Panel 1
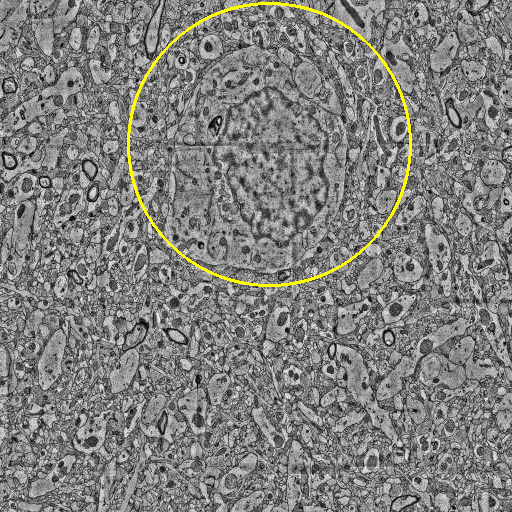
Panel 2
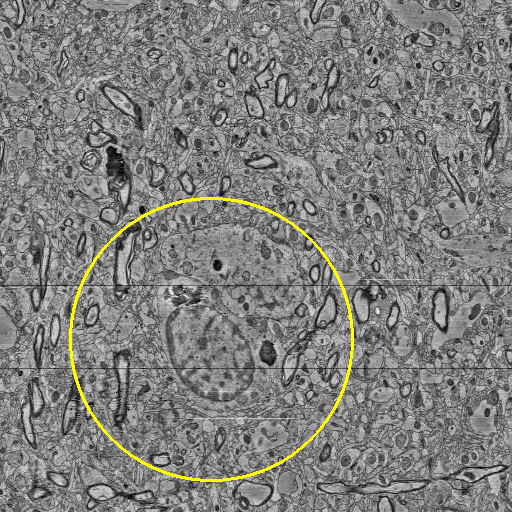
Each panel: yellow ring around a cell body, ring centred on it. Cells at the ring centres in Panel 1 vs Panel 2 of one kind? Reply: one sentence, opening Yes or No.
No, Panel 1 and Panel 2 have cells of two kinds at the ring centres.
